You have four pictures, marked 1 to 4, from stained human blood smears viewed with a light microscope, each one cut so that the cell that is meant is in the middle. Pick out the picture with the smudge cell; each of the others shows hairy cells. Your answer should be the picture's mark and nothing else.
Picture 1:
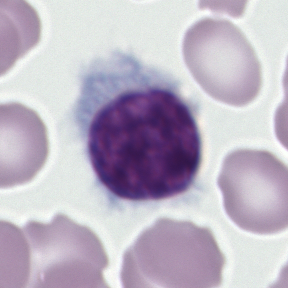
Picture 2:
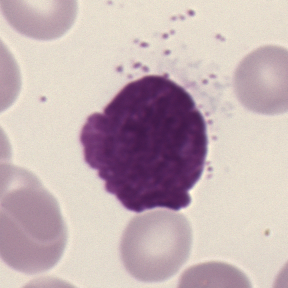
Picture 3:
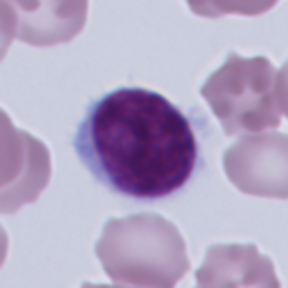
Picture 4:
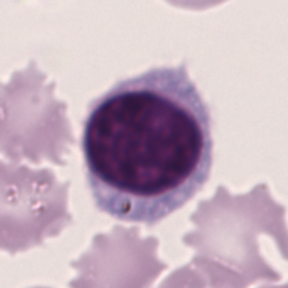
2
